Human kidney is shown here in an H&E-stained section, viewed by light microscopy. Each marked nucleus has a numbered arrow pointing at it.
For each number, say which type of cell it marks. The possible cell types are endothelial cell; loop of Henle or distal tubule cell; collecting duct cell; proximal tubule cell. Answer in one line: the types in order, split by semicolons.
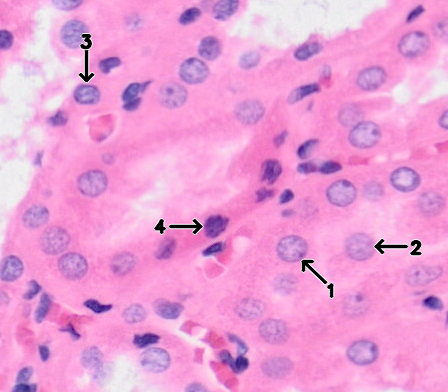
proximal tubule cell; proximal tubule cell; loop of Henle or distal tubule cell; proximal tubule cell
